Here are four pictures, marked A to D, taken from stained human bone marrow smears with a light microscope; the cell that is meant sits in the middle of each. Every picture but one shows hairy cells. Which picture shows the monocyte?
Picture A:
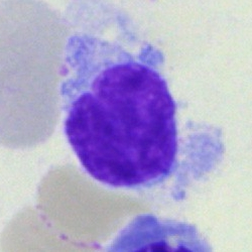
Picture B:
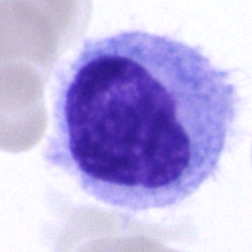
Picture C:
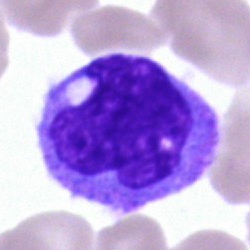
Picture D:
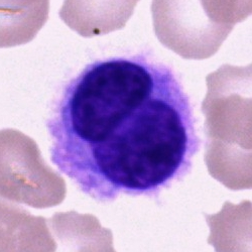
C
